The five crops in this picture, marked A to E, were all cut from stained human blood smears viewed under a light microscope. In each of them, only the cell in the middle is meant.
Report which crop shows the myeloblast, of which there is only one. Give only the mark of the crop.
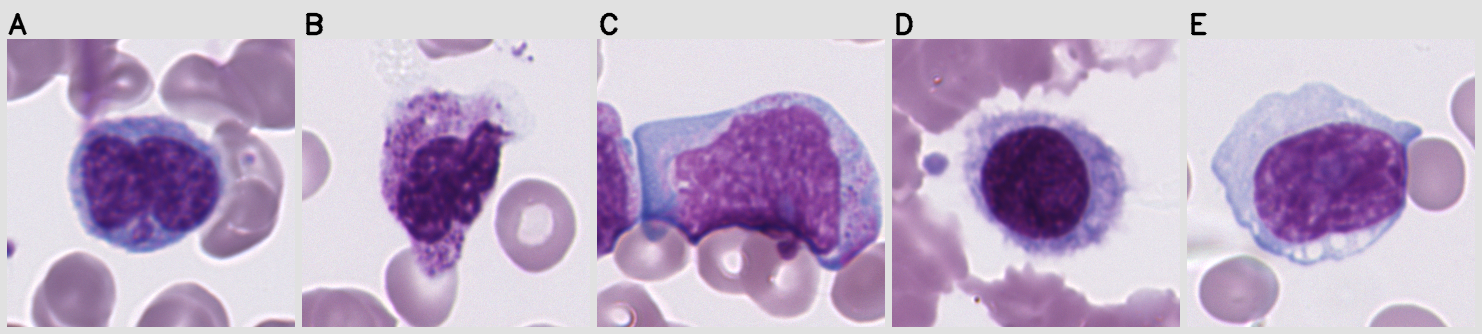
E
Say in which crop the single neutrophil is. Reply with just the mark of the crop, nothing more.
B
